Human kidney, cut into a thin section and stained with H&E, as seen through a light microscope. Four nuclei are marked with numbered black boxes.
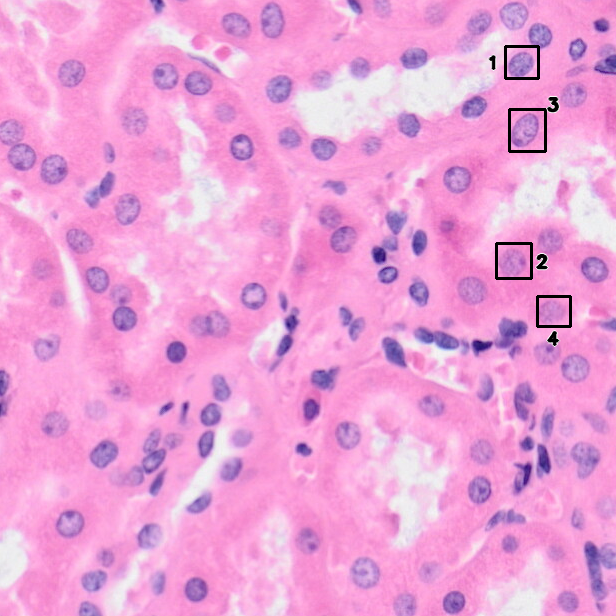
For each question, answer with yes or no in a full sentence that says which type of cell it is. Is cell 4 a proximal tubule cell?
Yes, the cell with number 4 is a proximal tubule cell.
